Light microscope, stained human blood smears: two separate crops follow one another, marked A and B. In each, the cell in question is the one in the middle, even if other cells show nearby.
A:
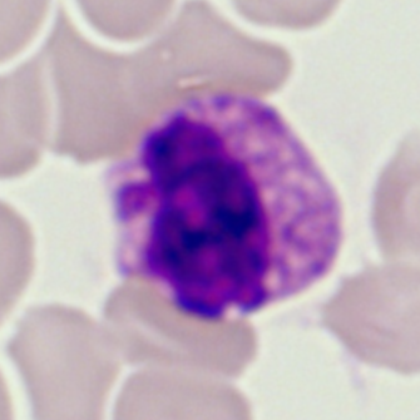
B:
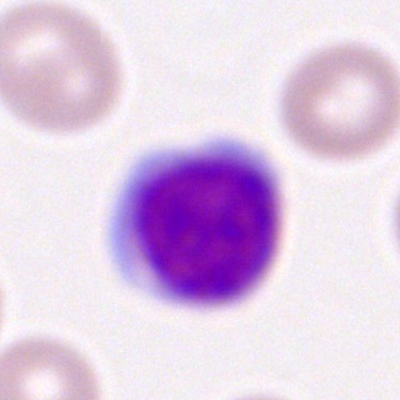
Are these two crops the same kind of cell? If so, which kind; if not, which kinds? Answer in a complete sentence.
No, a basophil is in crop A, and a lymphocyte is in crop B.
